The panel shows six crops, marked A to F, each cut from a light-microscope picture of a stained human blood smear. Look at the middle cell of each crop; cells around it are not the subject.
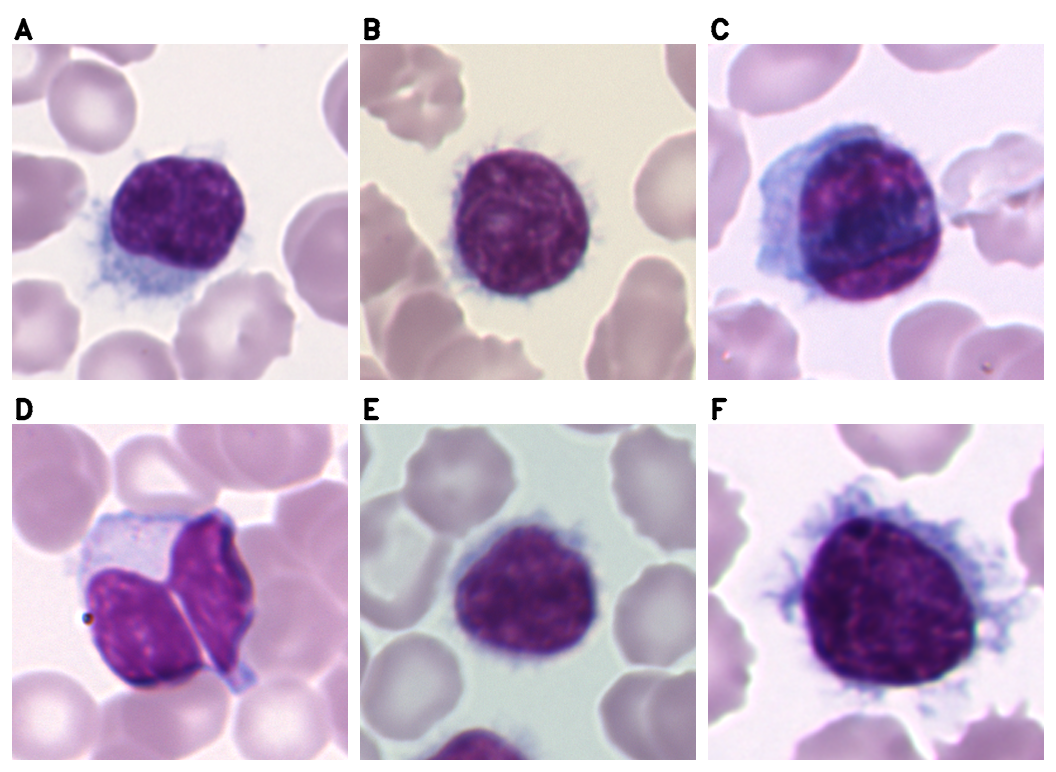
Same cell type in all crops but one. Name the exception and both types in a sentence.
The pattern of hairy cells across the crops is broken only by crop D, which shows a large granular lymphocyte.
